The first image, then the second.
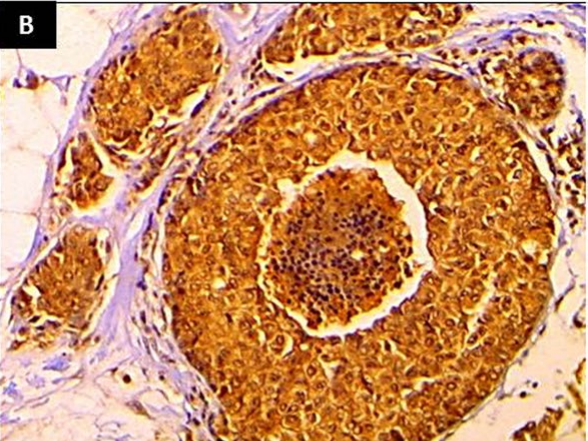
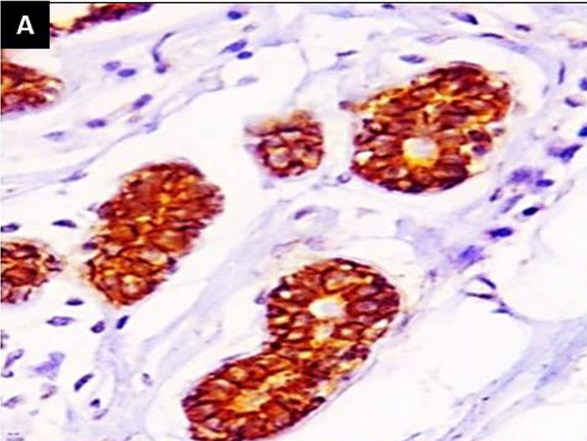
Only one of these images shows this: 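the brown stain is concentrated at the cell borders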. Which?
The second image.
